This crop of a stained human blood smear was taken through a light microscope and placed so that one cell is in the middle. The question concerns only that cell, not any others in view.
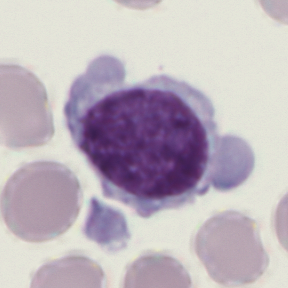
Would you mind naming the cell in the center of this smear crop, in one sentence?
Framed in the middle of the crop is a plasma cell.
